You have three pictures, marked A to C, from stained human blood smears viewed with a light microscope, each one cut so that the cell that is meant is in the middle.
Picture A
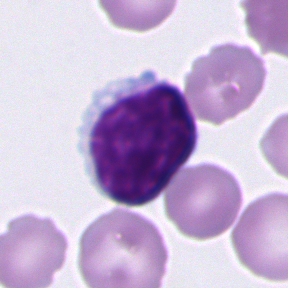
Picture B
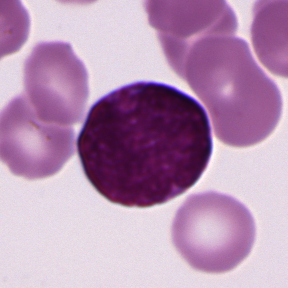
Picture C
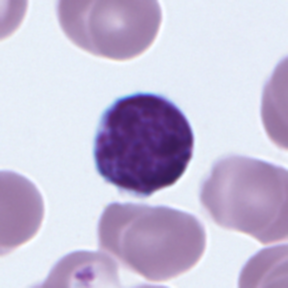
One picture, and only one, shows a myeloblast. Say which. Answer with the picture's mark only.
B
